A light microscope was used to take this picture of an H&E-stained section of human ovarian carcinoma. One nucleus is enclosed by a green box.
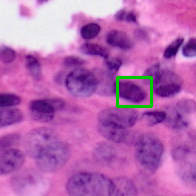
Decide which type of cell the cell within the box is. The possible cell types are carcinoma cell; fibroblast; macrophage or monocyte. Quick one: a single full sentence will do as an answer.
The identity of the cell within the box is that of a carcinoma cell.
